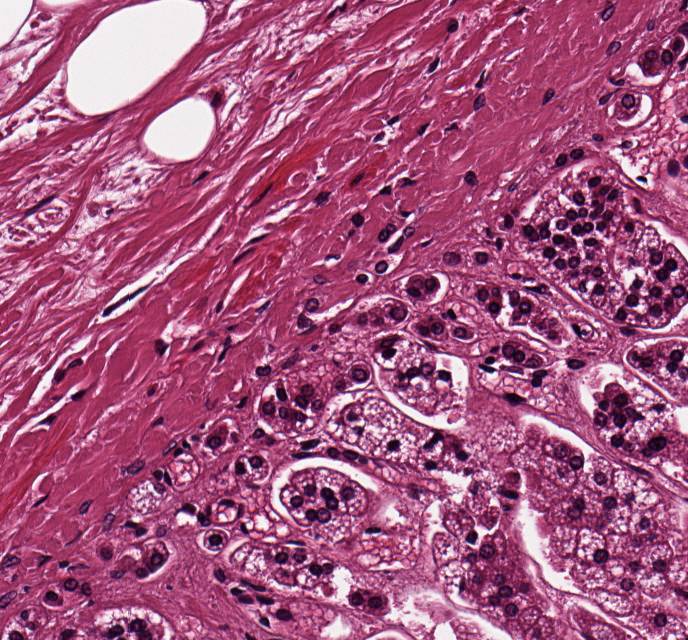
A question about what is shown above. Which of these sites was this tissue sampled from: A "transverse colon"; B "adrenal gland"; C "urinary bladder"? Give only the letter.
B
